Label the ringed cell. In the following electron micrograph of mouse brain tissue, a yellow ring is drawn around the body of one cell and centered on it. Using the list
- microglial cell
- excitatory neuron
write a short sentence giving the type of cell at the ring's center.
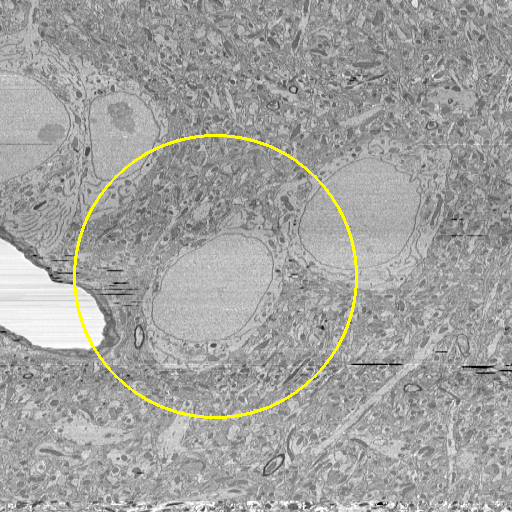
The cell body at the ring's center is that of an excitatory neuron.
